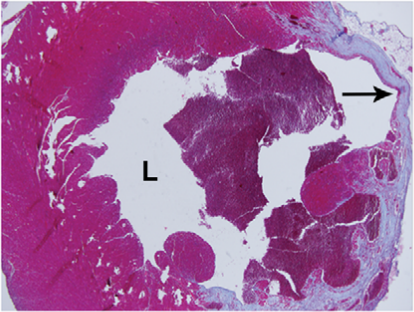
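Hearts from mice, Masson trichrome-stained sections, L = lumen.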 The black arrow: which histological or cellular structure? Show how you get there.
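The arrow points at a thin stretch of wall at the edge of the section. That stretch of wall is thin and pale bluish rather than the thick red muscle seen elsewhere.
Hence: scarred ventricular wall.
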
